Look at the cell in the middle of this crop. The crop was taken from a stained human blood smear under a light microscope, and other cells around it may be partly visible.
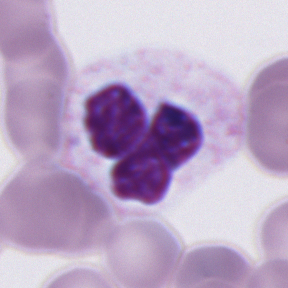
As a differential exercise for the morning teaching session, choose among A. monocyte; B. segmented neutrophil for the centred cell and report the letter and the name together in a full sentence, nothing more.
The cell right in the middle is a segmented neutrophil, so option B is the one.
